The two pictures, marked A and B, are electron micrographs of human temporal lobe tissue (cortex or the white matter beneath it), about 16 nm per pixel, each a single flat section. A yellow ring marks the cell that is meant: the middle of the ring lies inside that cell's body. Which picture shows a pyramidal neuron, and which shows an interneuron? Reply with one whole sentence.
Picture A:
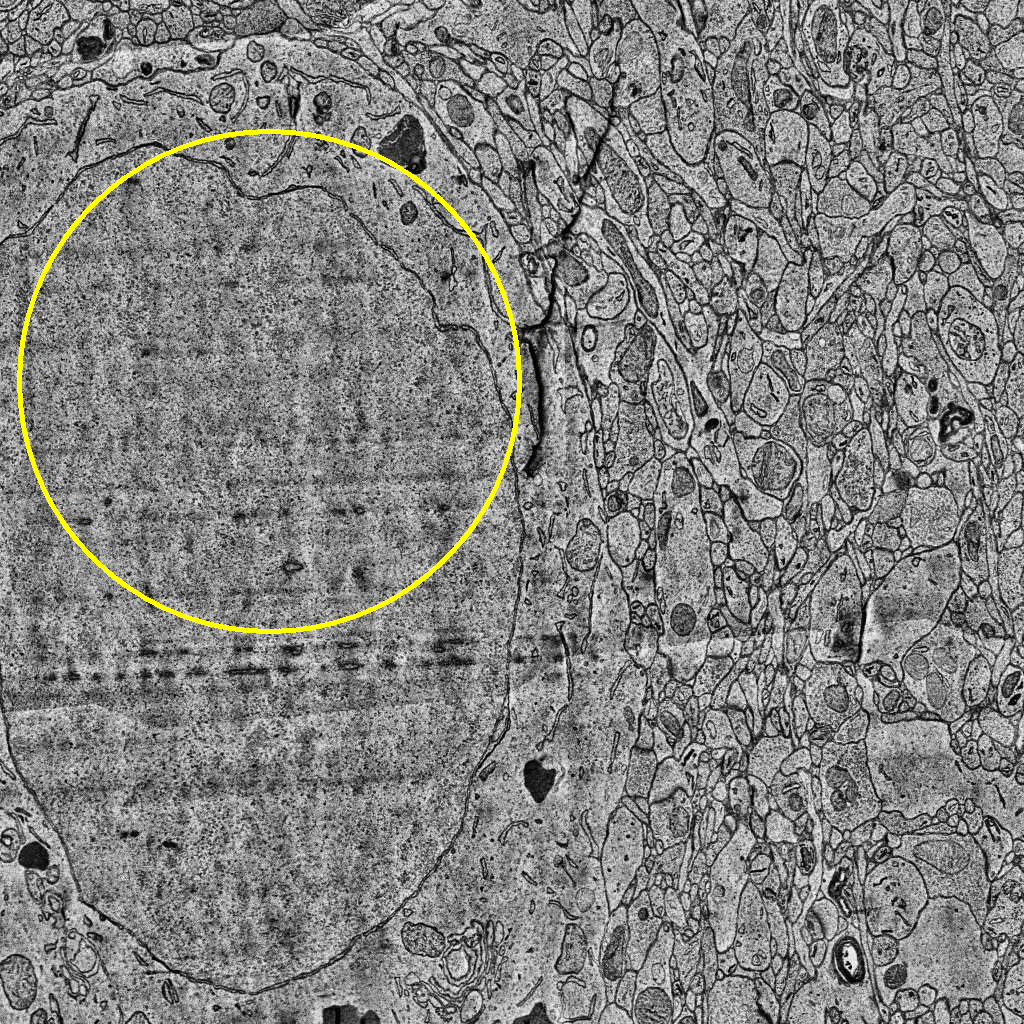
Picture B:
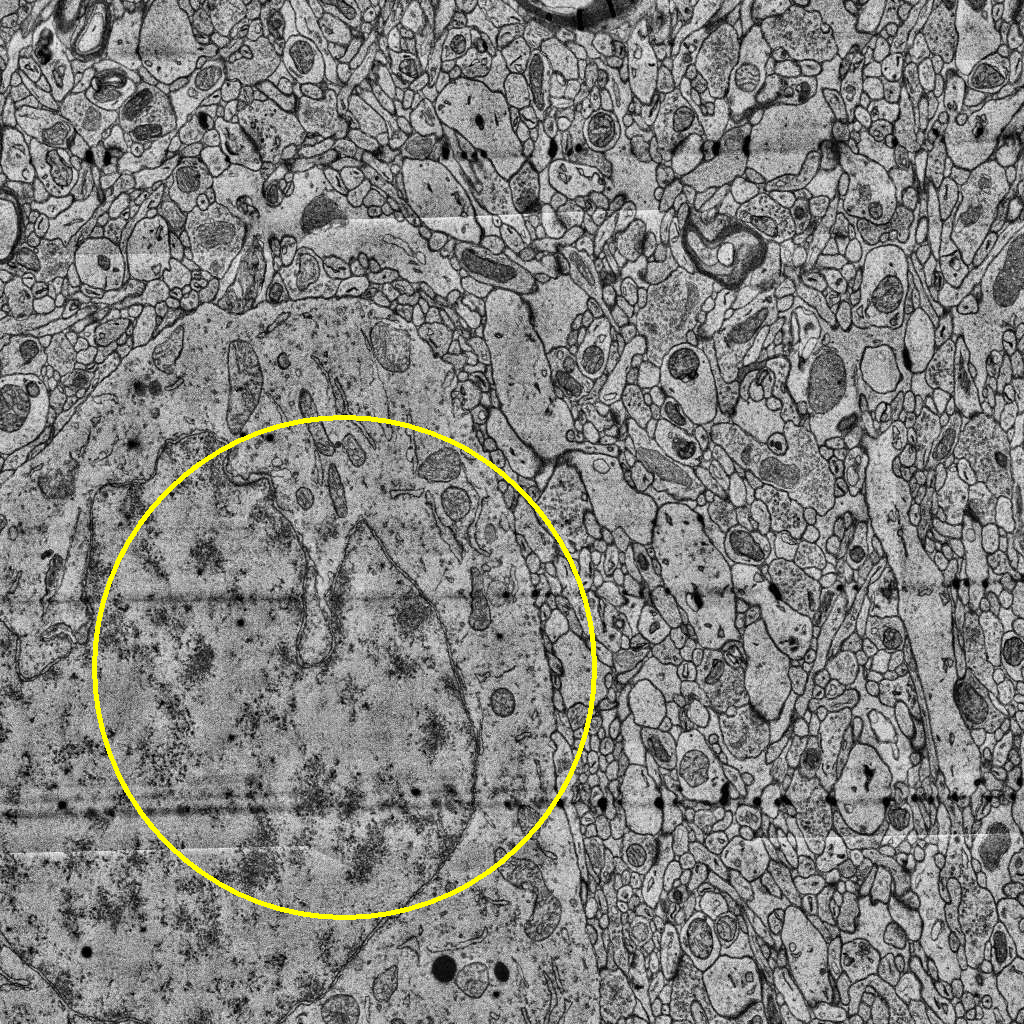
Picture A is of a pyramidal neuron, and picture B is of an interneuron.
